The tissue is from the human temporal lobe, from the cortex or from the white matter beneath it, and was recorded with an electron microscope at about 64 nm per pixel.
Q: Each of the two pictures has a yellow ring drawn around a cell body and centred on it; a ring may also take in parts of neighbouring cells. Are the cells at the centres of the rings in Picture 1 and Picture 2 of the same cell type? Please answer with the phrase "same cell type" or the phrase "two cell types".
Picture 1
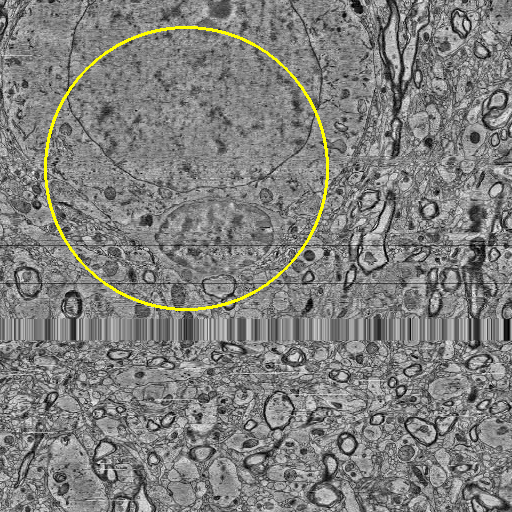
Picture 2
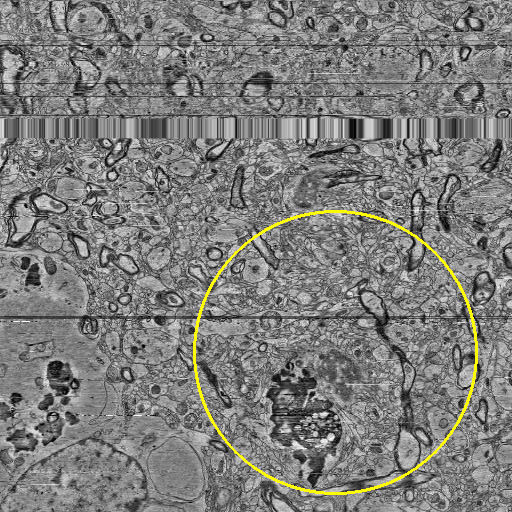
two cell types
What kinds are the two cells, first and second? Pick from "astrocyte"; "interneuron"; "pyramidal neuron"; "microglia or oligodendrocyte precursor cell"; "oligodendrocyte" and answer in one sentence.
The second picture holds an oligodendrocyte in its ring, and the first holds a pyramidal neuron.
